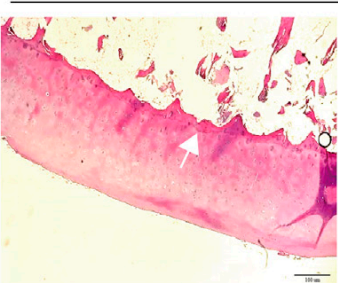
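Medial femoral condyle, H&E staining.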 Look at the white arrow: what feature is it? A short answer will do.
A: Tidemark.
